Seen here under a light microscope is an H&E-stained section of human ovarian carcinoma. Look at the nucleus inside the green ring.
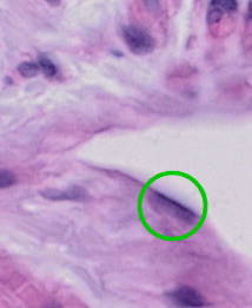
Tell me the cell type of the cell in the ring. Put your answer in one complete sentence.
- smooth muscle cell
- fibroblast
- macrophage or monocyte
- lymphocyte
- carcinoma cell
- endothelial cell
The correct response here is that the cell in the ring is an endothelial cell.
